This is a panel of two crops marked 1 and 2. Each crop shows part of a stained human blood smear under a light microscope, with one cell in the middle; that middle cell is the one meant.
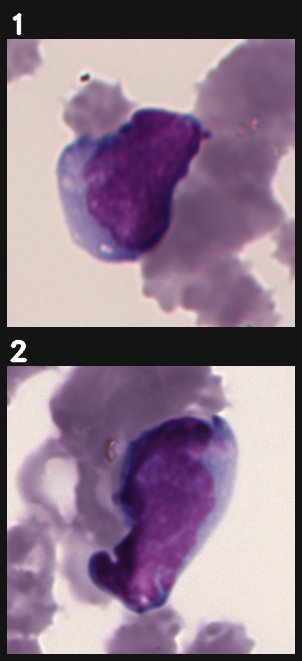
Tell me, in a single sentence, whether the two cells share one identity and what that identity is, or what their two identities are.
Yes, both crops feature myeloblasts at the centre.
